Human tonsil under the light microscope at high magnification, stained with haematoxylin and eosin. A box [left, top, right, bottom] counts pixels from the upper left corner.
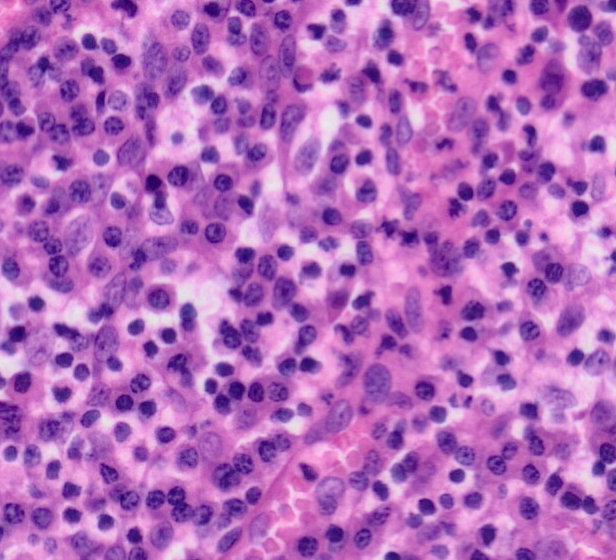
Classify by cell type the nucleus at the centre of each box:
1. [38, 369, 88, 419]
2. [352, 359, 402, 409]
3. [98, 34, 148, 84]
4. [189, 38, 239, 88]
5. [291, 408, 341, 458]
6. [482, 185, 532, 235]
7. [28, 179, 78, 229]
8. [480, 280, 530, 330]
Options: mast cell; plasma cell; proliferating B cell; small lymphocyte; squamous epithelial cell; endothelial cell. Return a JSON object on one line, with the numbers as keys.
{"1": "plasma cell", "2": "endothelial cell", "3": "plasma cell", "4": "plasma cell", "5": "endothelial cell", "6": "plasma cell", "7": "squamous epithelial cell", "8": "plasma cell"}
